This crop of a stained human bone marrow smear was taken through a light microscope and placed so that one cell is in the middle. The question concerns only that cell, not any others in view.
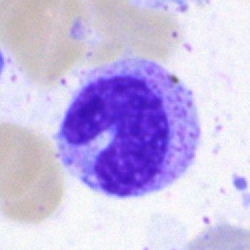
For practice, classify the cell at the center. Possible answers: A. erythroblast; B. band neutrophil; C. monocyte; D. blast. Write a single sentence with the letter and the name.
In the middle of the crop is a band neutrophil; option B is therefore correct.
